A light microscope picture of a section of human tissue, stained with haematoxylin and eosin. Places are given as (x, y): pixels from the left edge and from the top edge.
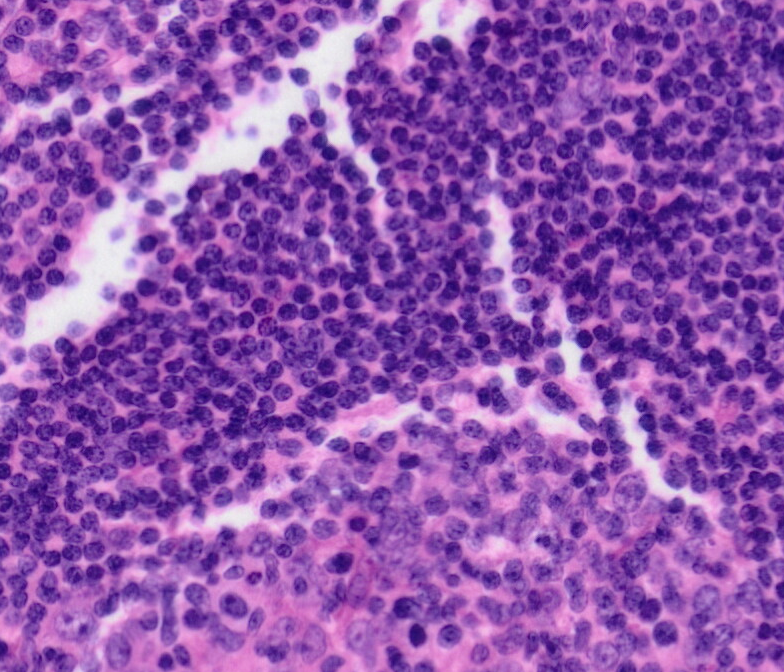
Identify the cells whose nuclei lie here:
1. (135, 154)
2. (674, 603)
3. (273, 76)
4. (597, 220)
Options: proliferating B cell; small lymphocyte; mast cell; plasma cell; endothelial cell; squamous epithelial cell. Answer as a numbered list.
1. small lymphocyte
2. proliferating B cell
3. small lymphocyte
4. small lymphocyte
